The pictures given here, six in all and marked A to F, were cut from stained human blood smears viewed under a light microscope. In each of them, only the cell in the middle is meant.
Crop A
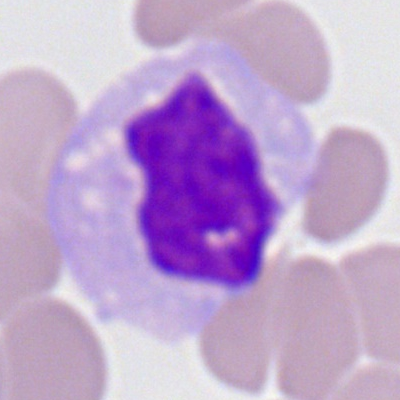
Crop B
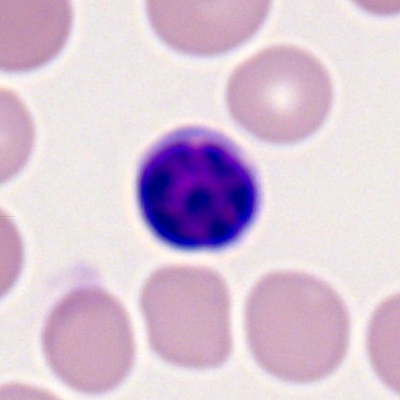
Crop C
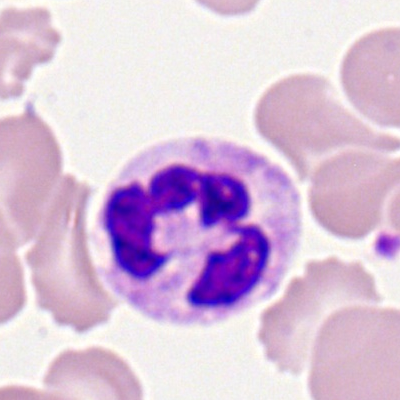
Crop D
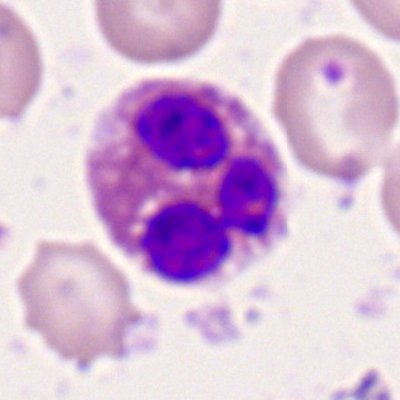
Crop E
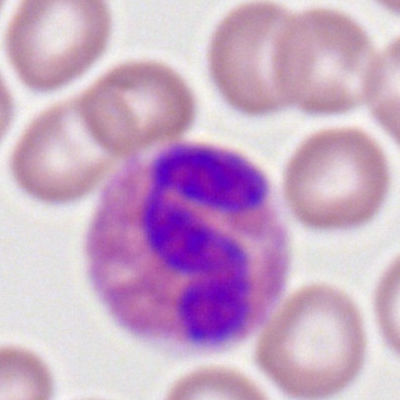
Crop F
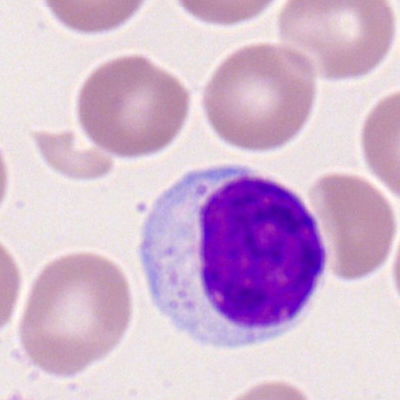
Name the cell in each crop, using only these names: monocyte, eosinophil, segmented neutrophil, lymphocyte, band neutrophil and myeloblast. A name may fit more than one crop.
A: monocyte
B: lymphocyte
C: segmented neutrophil
D: eosinophil
E: eosinophil
F: lymphocyte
